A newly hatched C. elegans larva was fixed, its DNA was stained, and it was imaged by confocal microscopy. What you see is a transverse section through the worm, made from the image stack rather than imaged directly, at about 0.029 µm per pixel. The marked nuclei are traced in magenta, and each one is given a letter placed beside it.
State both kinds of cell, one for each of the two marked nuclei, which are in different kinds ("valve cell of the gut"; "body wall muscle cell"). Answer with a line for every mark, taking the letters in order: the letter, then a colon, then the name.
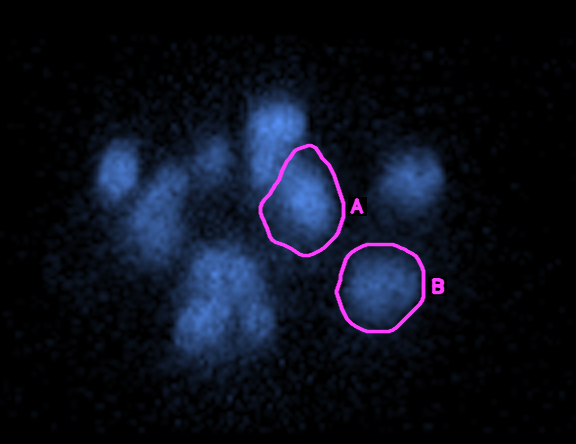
A: valve cell of the gut
B: body wall muscle cell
